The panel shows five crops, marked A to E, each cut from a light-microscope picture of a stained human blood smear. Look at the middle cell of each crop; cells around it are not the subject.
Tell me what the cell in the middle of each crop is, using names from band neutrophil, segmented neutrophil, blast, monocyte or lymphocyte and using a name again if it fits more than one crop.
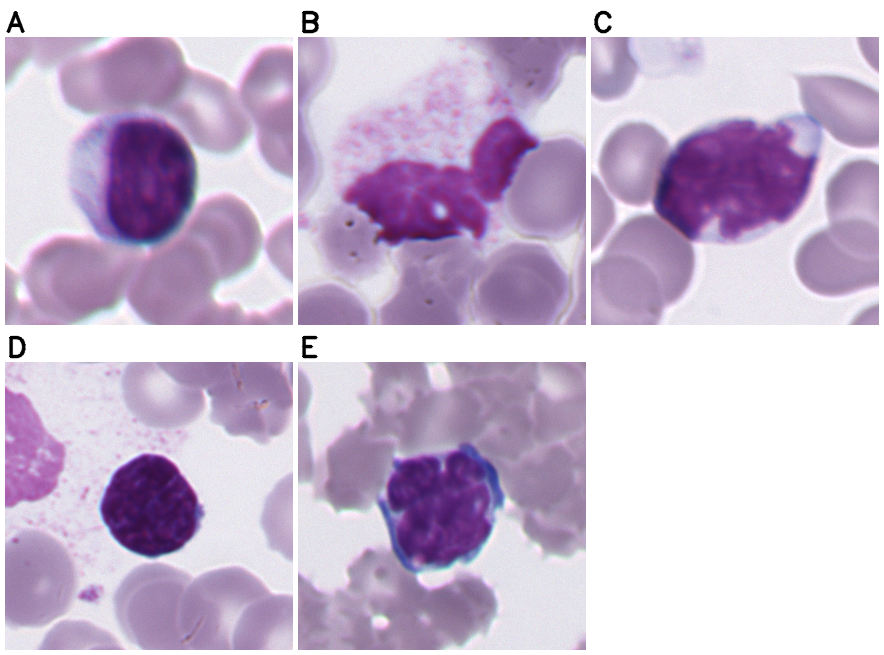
A: lymphocyte
B: segmented neutrophil
C: lymphocyte
D: lymphocyte
E: lymphocyte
